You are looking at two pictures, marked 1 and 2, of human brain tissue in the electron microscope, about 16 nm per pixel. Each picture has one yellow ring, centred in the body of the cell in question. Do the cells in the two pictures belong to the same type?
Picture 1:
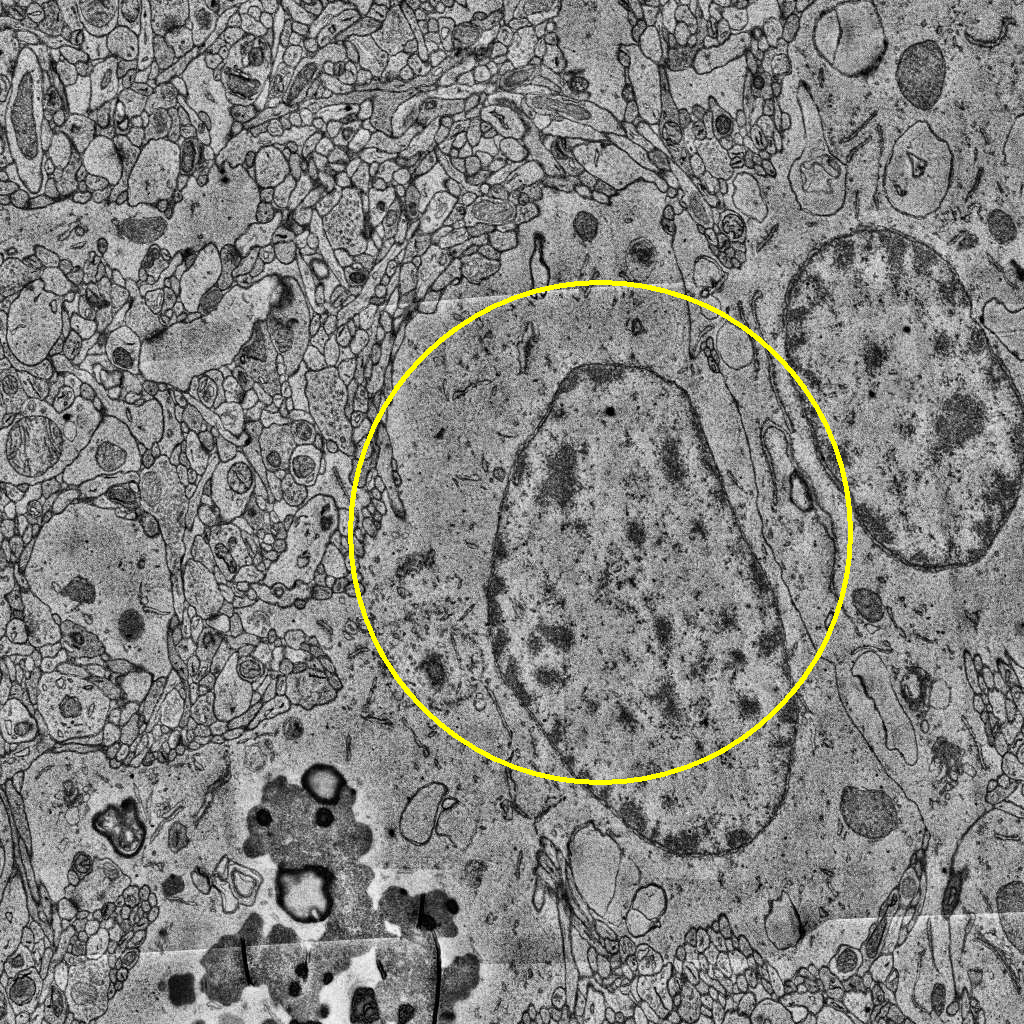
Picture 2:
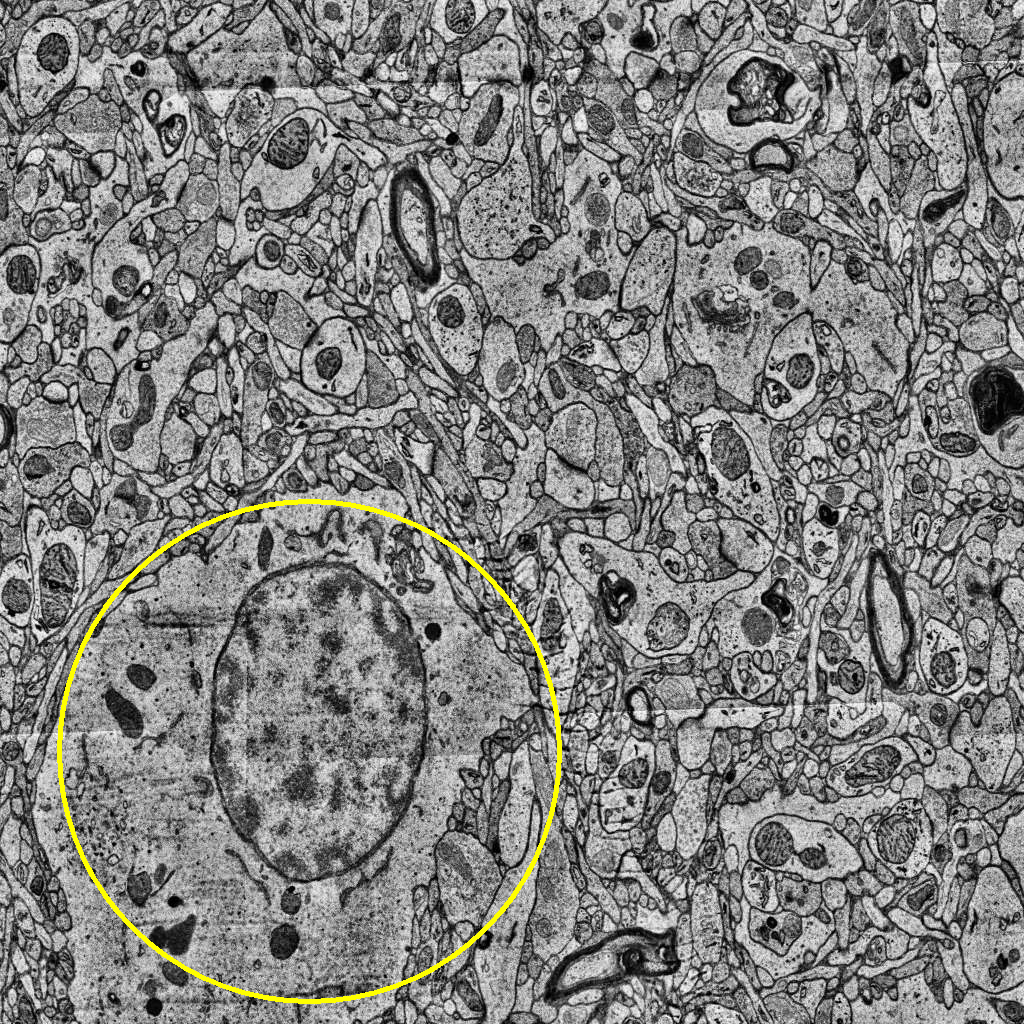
Yes, they are the same type: both are astrocytes.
